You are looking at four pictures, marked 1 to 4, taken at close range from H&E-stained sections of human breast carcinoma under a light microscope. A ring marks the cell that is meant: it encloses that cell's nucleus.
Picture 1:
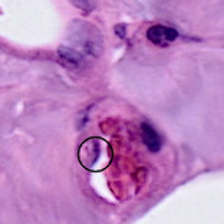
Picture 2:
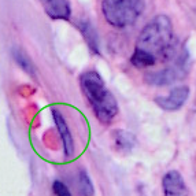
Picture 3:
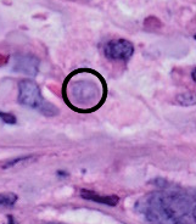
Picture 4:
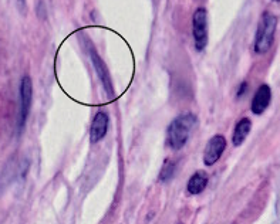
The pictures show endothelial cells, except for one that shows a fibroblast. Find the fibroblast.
4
